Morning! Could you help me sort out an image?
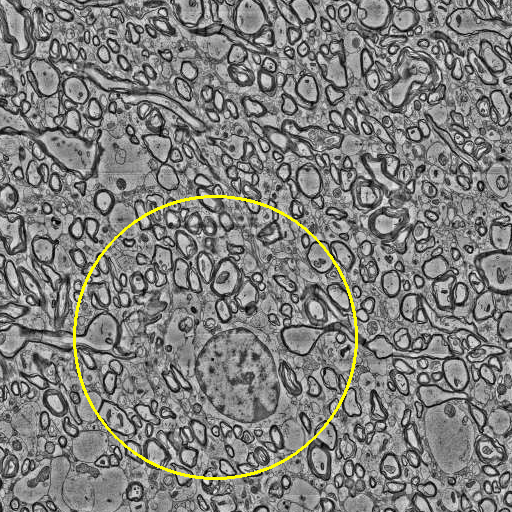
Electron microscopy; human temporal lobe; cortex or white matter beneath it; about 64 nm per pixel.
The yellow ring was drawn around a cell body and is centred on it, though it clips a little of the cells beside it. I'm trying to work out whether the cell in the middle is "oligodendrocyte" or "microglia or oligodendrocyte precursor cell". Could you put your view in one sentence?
The ringed cell body is that of a microglial cell or oligodendrocyte precursor cell.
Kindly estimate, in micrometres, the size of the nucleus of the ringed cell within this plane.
About 6 micrometres by about 5 micrometres in this plane.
